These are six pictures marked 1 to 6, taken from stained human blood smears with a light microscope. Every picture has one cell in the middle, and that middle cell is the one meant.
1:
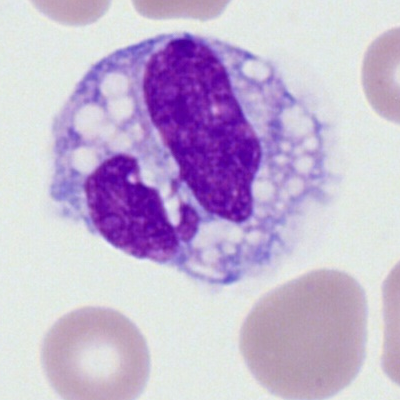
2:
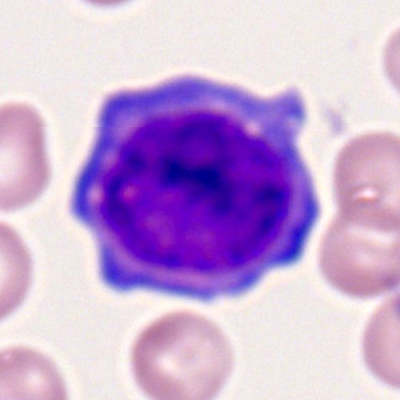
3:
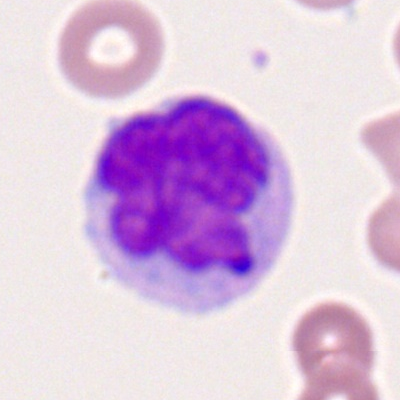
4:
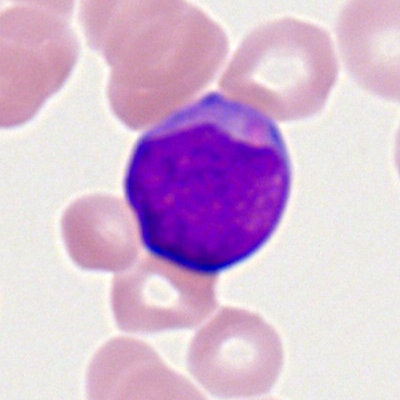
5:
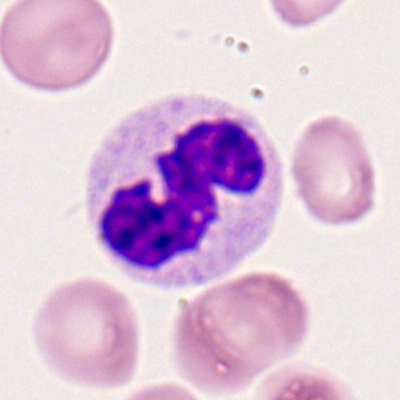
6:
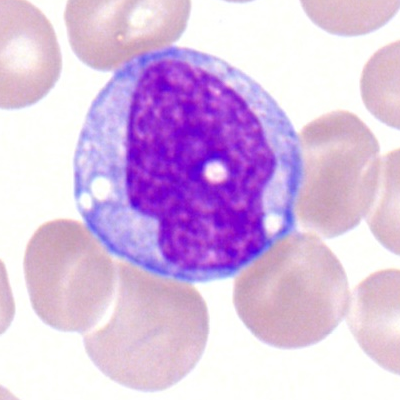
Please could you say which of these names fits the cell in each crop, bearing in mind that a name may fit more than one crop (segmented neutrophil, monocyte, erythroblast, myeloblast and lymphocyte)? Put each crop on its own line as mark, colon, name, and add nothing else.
1: monocyte
2: myeloblast
3: monocyte
4: myeloblast
5: segmented neutrophil
6: monocyte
